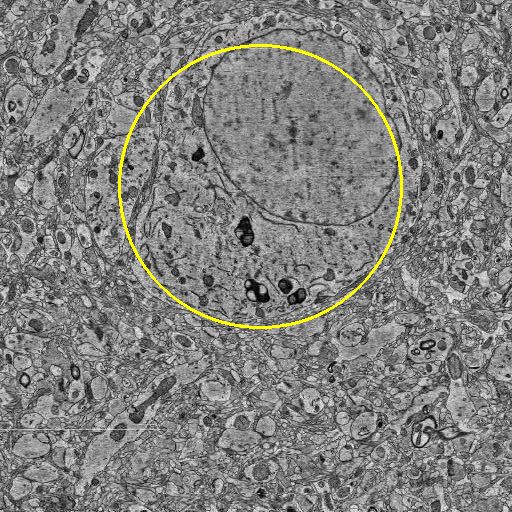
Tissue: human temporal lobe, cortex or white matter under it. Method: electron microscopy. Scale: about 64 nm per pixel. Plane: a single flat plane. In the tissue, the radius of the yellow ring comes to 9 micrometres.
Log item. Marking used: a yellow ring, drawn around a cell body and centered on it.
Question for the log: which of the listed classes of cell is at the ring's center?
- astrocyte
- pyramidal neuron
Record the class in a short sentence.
At the center of the ring lies a pyramidal neuron.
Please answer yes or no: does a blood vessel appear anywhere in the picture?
No, none appears.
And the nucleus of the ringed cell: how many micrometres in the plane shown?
In this plane, roughly 14 by 12 micrometres.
